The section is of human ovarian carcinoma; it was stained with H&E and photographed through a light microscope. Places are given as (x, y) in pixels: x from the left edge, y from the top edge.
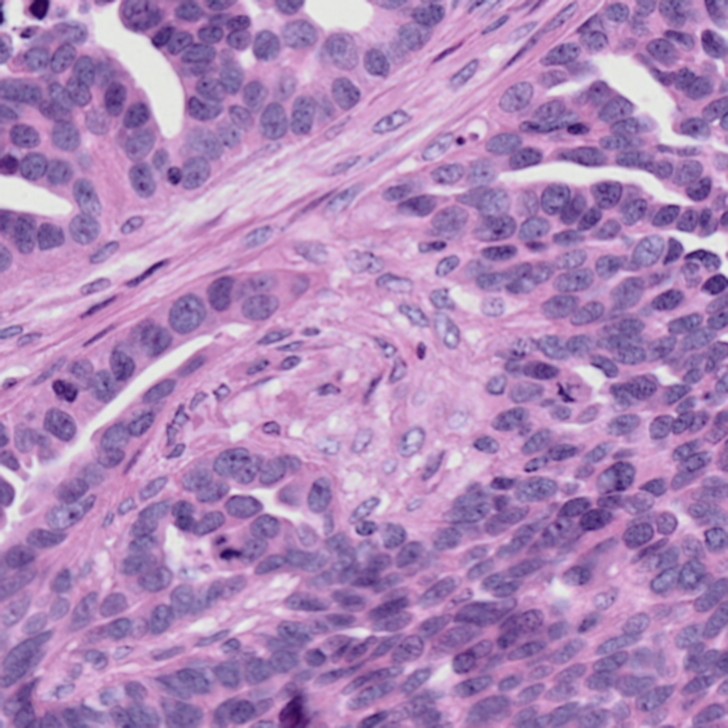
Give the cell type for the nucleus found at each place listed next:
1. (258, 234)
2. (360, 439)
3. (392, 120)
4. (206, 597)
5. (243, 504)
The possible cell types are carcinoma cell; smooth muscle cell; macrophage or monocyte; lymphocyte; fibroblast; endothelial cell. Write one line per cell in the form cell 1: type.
cell 1: fibroblast
cell 2: fibroblast
cell 3: fibroblast
cell 4: carcinoma cell
cell 5: carcinoma cell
